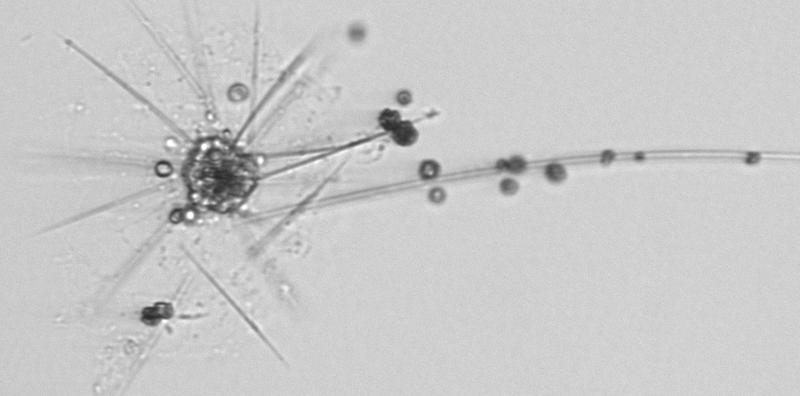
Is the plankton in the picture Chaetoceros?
No, it is a radiolarian.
